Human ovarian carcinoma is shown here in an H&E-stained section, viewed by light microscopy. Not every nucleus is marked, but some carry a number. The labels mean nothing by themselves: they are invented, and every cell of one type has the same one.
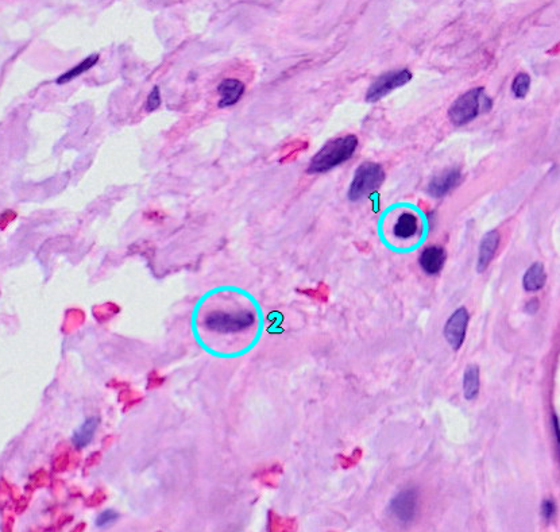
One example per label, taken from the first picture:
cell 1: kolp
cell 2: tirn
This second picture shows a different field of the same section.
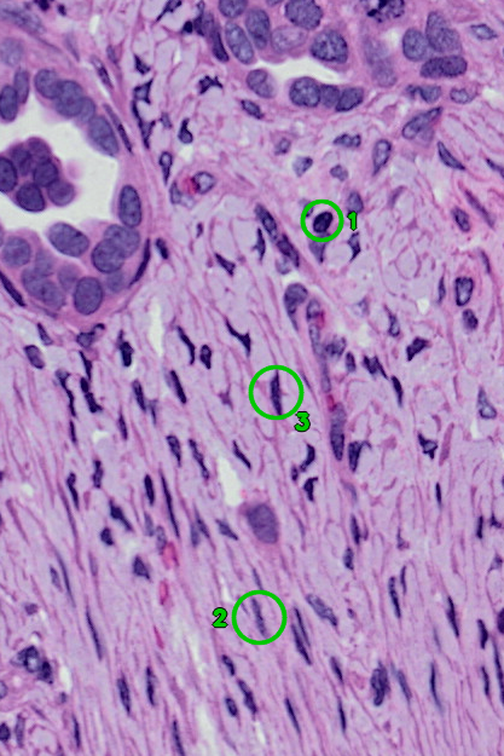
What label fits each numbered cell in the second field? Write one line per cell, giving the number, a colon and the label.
1: kolp
2: tirn
3: tirn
